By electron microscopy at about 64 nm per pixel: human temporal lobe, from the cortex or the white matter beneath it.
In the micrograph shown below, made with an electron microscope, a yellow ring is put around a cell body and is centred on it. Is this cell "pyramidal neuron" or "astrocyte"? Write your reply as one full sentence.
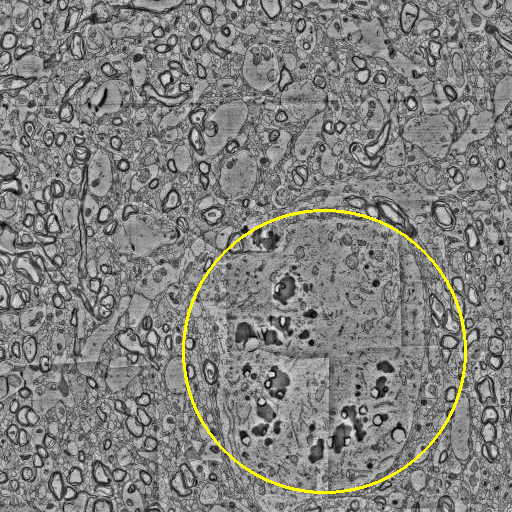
In the micrograph, a pyramidal neuron is the cell at the centre of the yellow ring.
